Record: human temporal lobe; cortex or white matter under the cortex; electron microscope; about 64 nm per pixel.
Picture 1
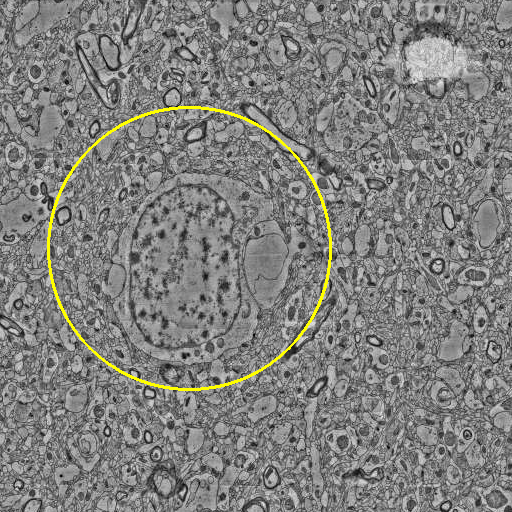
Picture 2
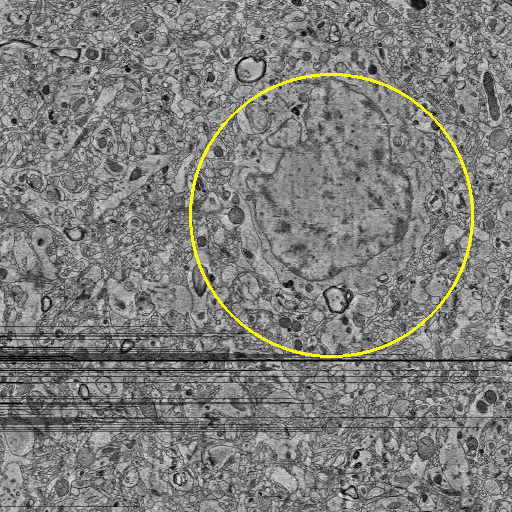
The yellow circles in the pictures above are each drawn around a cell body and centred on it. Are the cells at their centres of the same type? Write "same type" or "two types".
same type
